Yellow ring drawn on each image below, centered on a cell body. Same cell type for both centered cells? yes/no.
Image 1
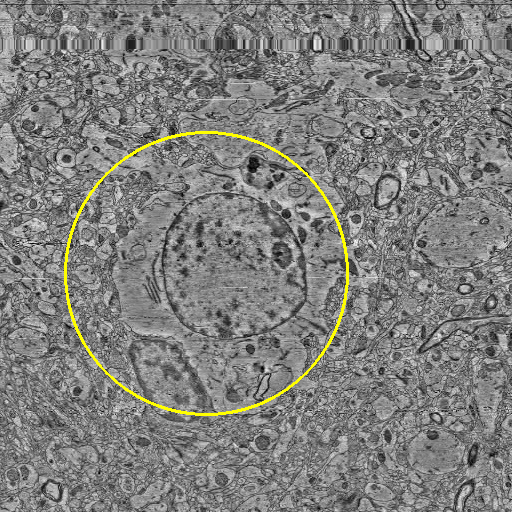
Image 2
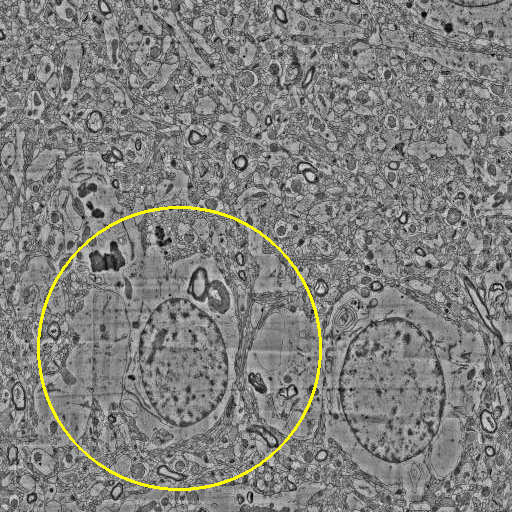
yes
